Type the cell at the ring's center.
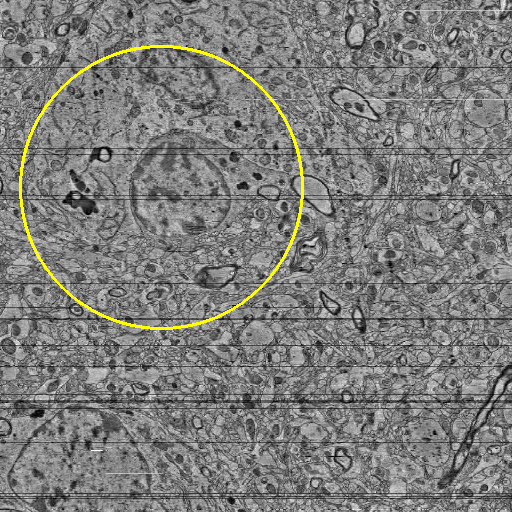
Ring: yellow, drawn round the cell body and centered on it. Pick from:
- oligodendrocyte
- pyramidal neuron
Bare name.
oligodendrocyte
